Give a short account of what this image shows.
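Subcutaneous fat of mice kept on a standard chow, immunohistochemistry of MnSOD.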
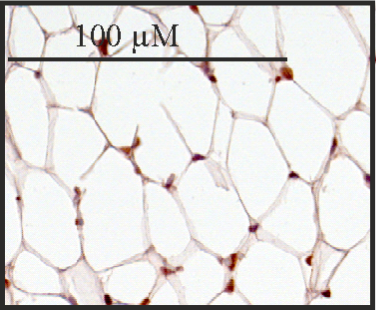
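Adipose tissue made of closely packed adipocytes, each a large polygonal to rounded cell whose interior is empty and unstained, where the single lipid droplet lay. Each cell is bounded only by a very thin rim of cytoplasm, stained pale pinkish-brown. Small, dark, flattened nuclei sit pressed against the cell margins, often at the corners where three or more cells meet, where small darker brown deposits also lie. The cells vary in size, and some rims are folded or wrinkled. No other tissue lies between the adipocytes apart from the small interstitial cells at their junctions.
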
